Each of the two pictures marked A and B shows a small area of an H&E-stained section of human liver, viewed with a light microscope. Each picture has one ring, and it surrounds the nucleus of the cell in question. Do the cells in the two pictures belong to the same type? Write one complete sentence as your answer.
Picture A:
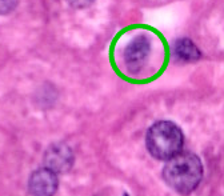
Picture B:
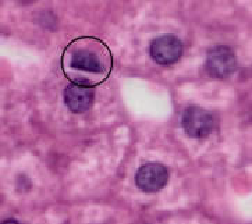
No. Picture A shows a Kupffer cell, but picture B shows a “fibroblast or stellate cell”.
